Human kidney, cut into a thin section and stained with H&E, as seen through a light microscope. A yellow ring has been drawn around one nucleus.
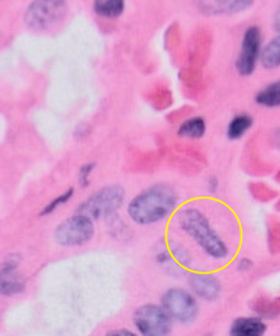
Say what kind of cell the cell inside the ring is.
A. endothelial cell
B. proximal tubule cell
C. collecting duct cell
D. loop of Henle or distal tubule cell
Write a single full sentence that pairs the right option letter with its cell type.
Option C is the correct one, since the cell inside the ring is a collecting duct cell.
